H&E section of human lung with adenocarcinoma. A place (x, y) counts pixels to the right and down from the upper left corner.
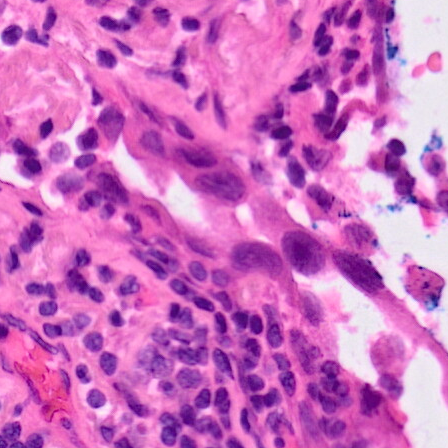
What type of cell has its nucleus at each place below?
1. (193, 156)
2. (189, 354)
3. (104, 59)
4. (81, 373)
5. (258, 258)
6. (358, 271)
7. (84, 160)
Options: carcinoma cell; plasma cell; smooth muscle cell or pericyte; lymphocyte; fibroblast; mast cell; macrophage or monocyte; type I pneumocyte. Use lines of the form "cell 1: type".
cell 1: carcinoma cell
cell 2: lymphocyte
cell 3: lymphocyte
cell 4: lymphocyte
cell 5: carcinoma cell
cell 6: carcinoma cell
cell 7: lymphocyte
